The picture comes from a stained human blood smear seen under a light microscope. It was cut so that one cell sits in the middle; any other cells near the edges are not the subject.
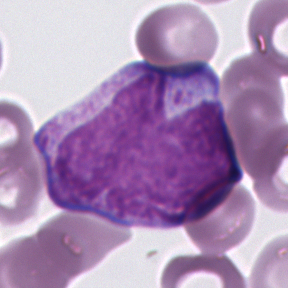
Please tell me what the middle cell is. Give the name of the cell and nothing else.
atypical promyelocyte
